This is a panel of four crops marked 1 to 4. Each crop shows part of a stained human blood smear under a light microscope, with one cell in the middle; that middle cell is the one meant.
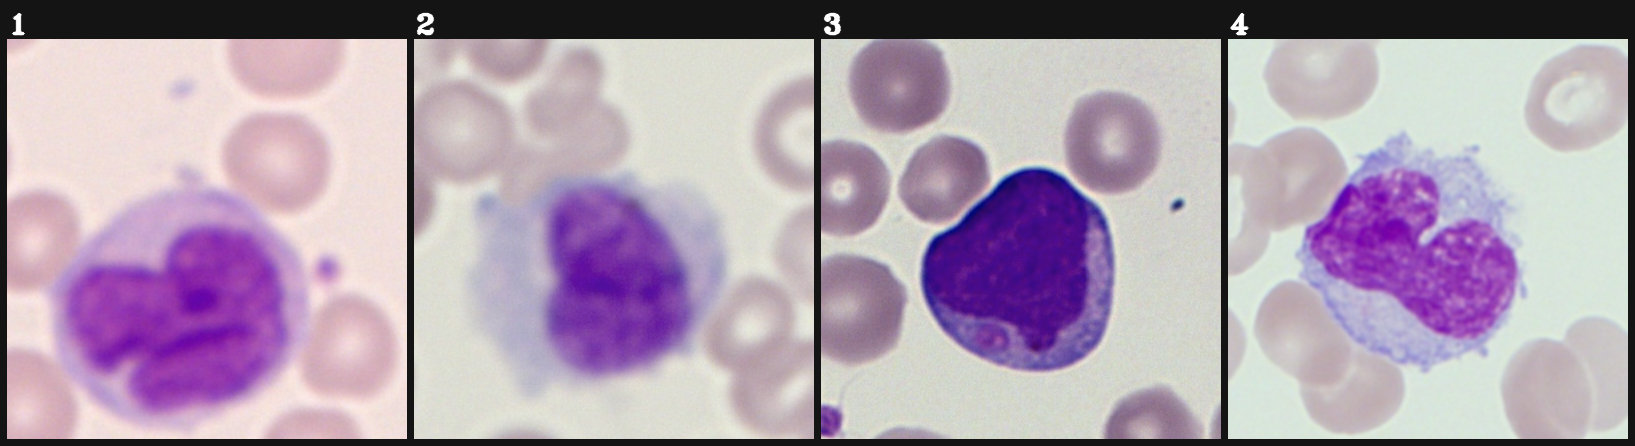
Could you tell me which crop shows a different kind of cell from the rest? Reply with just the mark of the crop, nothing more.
3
